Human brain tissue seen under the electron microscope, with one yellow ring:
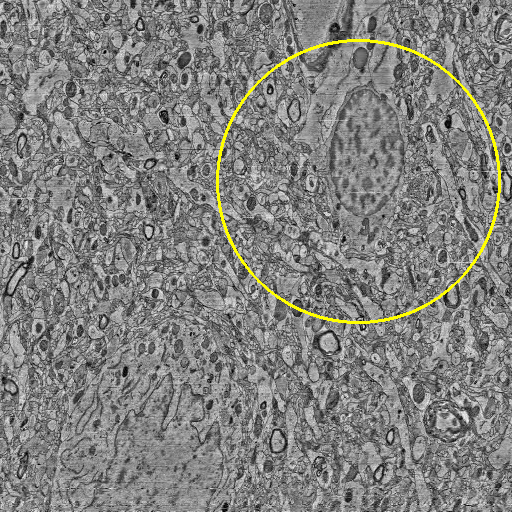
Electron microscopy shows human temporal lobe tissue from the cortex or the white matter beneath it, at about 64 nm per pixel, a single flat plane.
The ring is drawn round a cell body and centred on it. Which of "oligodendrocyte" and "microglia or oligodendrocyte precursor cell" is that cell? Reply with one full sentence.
The picture shows an oligodendrocyte at the very centre of the yellow ring.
